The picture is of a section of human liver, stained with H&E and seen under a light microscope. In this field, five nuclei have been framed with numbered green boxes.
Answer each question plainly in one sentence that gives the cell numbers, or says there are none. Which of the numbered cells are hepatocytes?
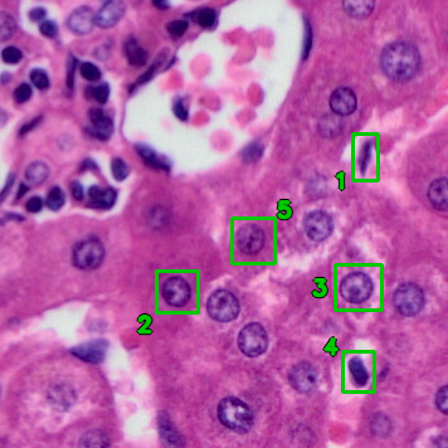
Cells 2, 3 and 5 are of one type, namely hepatocytes.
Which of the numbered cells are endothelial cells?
Only one of the numbered nuclei, number 1, belongs to an endothelial cell.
